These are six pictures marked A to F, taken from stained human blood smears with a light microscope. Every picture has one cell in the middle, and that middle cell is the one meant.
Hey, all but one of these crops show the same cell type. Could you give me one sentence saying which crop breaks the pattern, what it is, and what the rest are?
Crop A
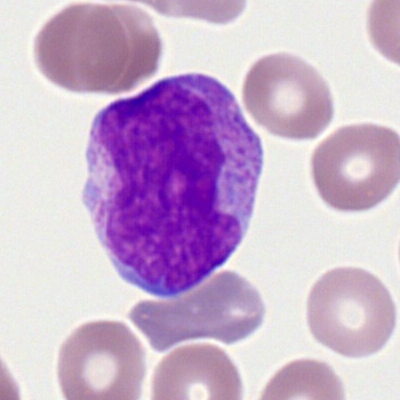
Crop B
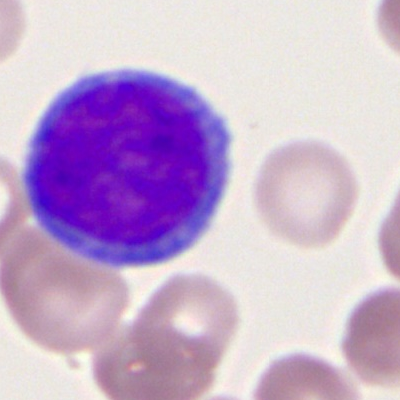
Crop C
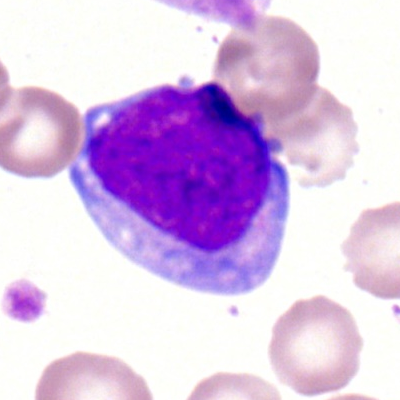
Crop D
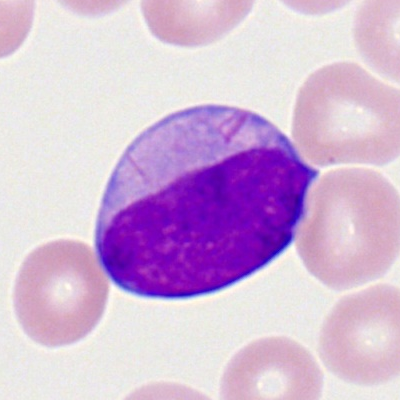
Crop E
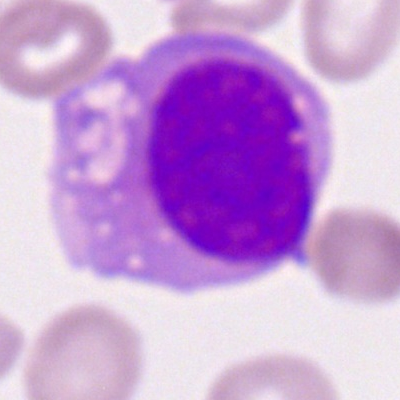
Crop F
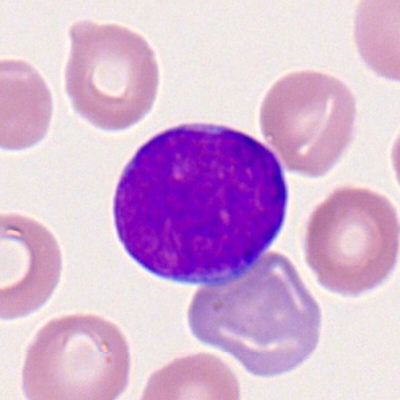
The crop that differs is crop E, showing a monocyte; the others show myeloblasts.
